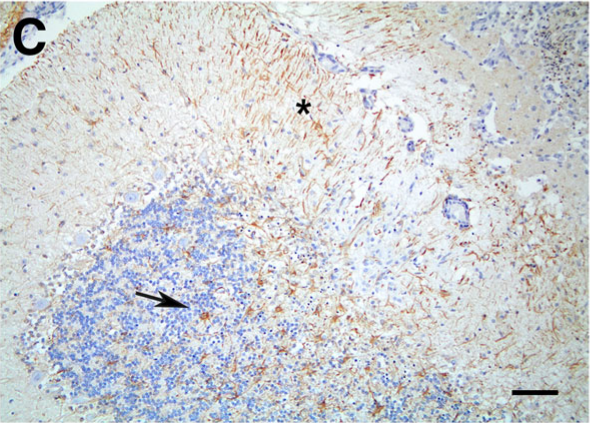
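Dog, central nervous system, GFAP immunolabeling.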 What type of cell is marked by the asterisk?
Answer: Bergman glia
